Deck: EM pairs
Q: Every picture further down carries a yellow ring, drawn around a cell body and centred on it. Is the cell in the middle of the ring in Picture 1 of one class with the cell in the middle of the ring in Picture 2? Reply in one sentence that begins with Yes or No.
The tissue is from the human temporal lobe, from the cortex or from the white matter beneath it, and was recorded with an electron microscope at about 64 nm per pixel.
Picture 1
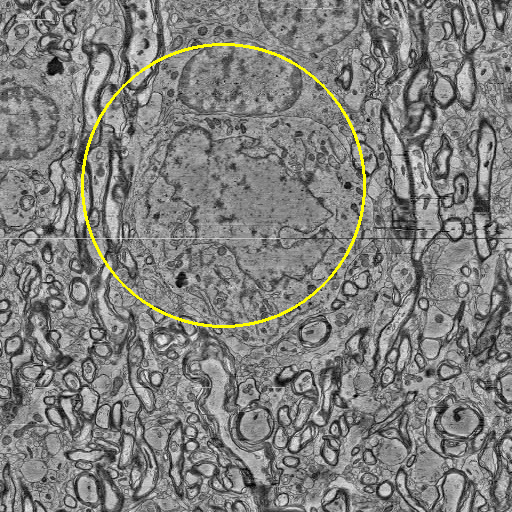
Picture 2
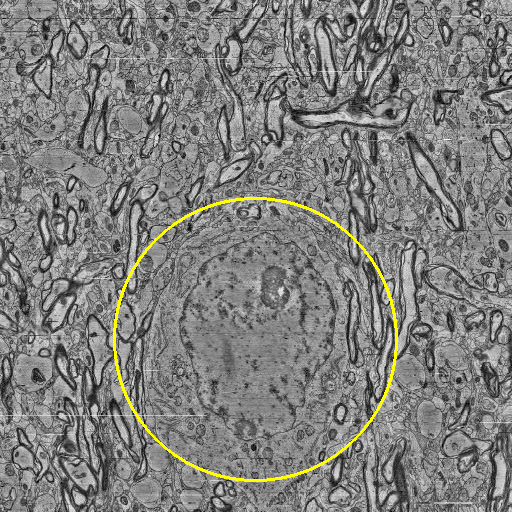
Yes, the cell centred in the ring of Picture 1 and the one in Picture 2 belong to one class.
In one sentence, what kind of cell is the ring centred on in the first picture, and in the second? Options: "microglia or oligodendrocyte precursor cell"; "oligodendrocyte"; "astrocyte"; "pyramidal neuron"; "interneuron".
Both the first and the second picture show an interneuron in the ring.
